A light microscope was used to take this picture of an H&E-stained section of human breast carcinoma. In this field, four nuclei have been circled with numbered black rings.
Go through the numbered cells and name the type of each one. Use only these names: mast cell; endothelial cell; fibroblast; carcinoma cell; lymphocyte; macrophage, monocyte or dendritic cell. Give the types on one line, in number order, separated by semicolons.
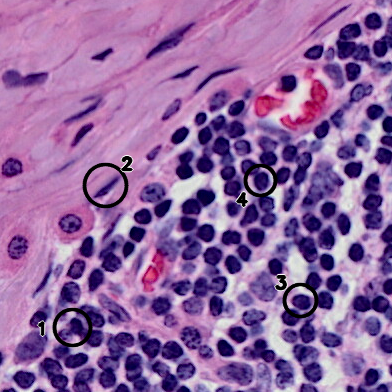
lymphocyte; fibroblast; lymphocyte; lymphocyte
